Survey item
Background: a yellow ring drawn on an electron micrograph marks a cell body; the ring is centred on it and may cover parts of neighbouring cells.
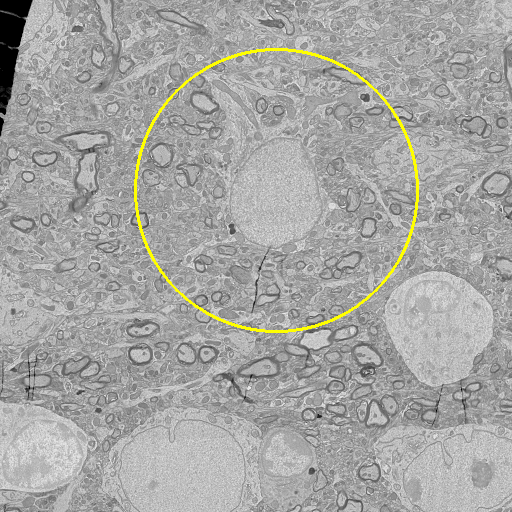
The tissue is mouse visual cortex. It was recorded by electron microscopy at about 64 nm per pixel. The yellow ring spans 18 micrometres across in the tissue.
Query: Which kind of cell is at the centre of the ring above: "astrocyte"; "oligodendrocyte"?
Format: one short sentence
The cell in the middle of the ring is an astrocyte.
